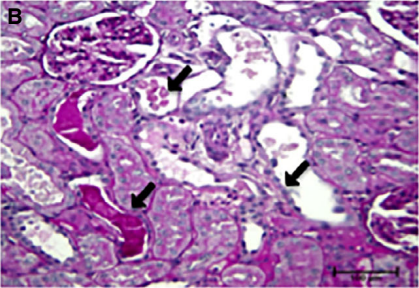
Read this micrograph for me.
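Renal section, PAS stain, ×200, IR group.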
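This is injured kidney cortex, with a glomerulus at upper left and tubules around it. Several tubules are widened and their lining cells are thinned or lost, so the basement membrane is left bare in places. The lumina hold pale, fragmented debris, and some are filled with a dense, bright magenta cast. The glomerulus itself looks unremarkable, with its capillary tuft intact inside the capsule.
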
